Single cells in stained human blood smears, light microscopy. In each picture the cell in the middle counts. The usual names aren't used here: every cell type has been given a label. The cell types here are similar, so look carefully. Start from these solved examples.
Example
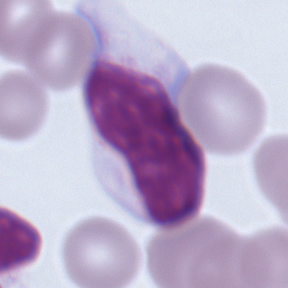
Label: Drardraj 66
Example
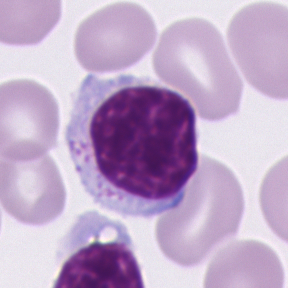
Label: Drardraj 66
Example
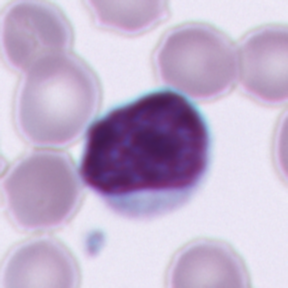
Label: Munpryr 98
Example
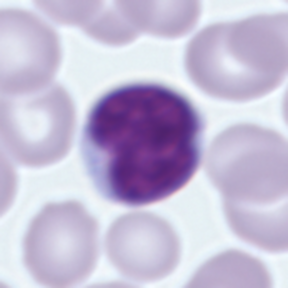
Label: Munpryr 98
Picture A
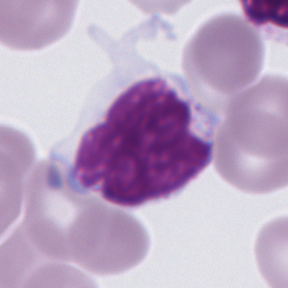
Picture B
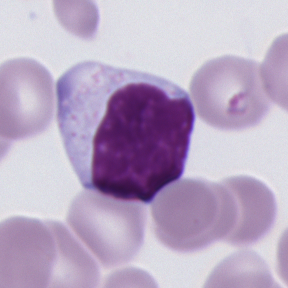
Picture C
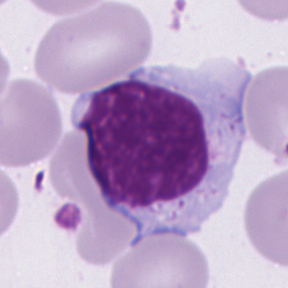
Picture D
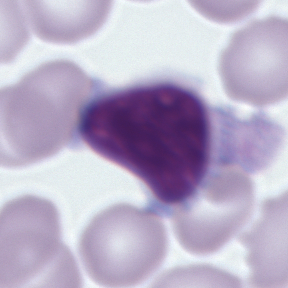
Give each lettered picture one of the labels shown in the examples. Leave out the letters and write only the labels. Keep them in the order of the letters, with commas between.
Drardraj 66, Drardraj 66, Drardraj 66, Munpryr 98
